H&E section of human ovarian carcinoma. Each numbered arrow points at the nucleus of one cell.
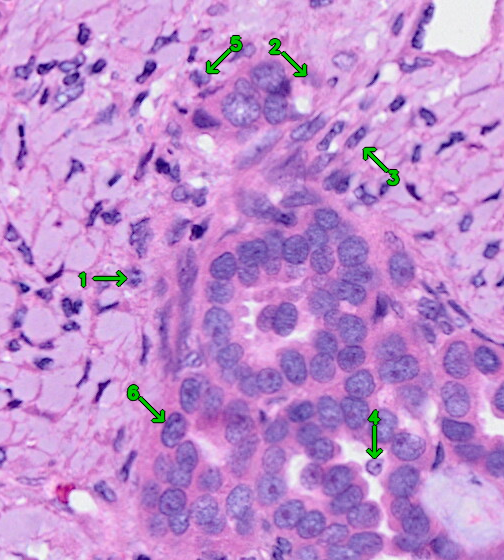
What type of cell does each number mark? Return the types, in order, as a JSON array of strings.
["fibroblast", "fibroblast", "fibroblast", "macrophage or monocyte", "fibroblast", "carcinoma cell"]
